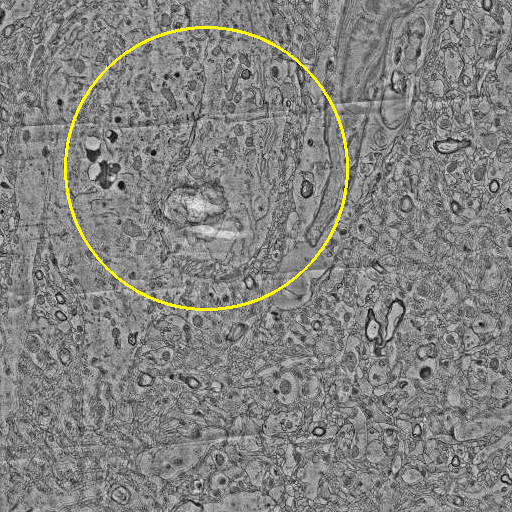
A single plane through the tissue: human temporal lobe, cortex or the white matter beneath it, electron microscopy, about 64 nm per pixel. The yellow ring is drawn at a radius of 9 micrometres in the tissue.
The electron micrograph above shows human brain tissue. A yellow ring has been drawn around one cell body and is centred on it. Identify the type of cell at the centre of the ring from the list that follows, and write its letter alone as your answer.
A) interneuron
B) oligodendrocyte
A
